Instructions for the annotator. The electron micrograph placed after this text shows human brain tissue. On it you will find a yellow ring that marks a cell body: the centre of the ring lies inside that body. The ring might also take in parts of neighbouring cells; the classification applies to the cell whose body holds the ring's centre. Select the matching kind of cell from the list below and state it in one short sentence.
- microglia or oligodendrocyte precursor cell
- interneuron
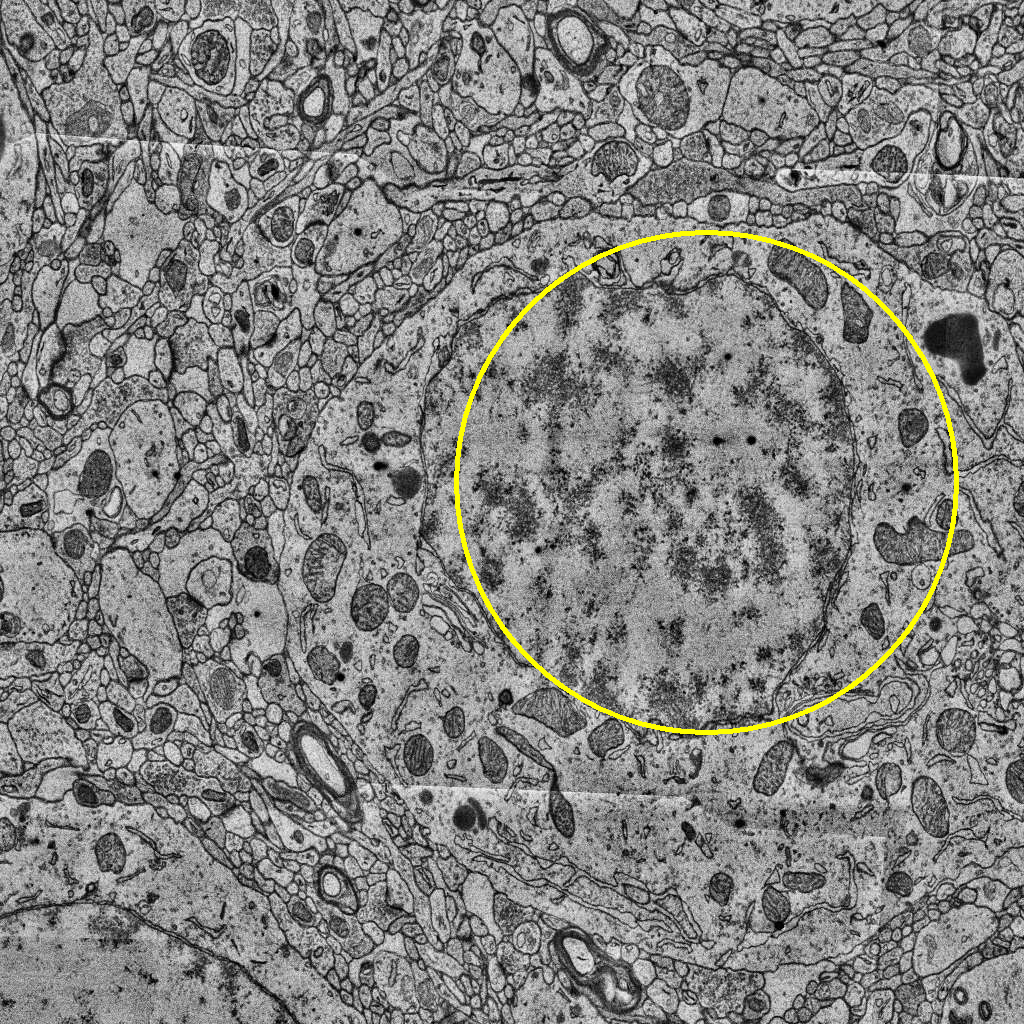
The centre of the ring lies in the cell body of an interneuron.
